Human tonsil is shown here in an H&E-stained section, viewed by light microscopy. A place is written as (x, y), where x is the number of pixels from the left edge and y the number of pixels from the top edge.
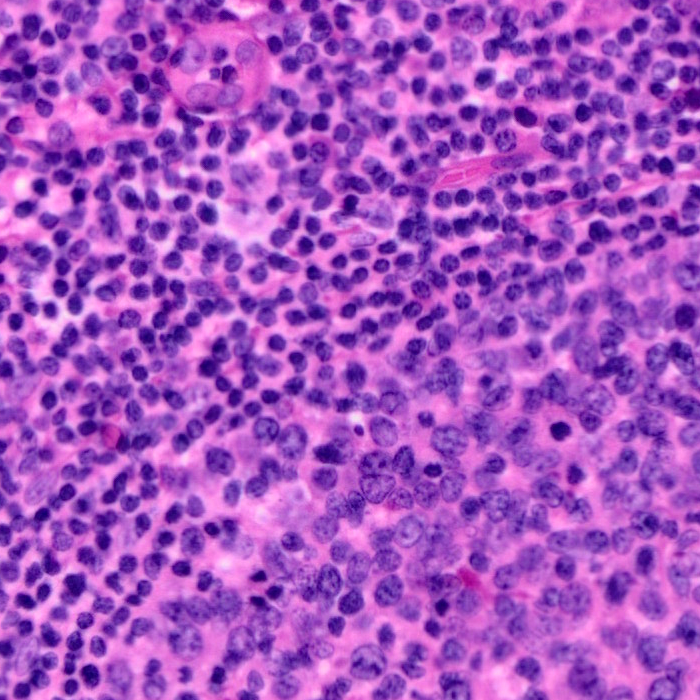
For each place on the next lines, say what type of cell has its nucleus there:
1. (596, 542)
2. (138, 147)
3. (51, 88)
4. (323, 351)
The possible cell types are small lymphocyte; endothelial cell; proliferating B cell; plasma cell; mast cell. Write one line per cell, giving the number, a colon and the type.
1: proliferating B cell
2: small lymphocyte
3: small lymphocyte
4: small lymphocyte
